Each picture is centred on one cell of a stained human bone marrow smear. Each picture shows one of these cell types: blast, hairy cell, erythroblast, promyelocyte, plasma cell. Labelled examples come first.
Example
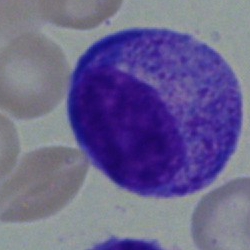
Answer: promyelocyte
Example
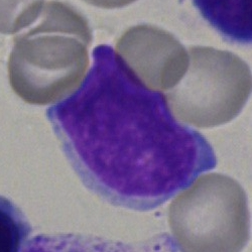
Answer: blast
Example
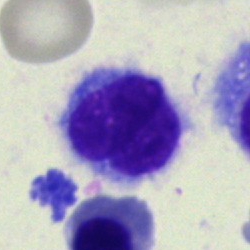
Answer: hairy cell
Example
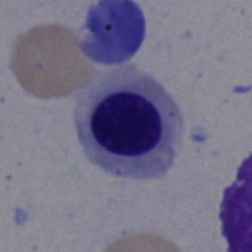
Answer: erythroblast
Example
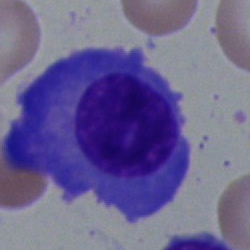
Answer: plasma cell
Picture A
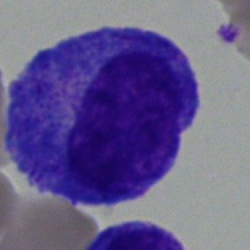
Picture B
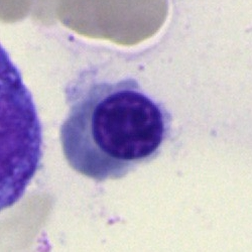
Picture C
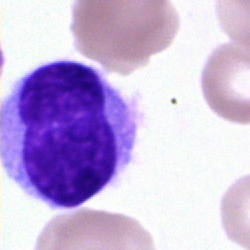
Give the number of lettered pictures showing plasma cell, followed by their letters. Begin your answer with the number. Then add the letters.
0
